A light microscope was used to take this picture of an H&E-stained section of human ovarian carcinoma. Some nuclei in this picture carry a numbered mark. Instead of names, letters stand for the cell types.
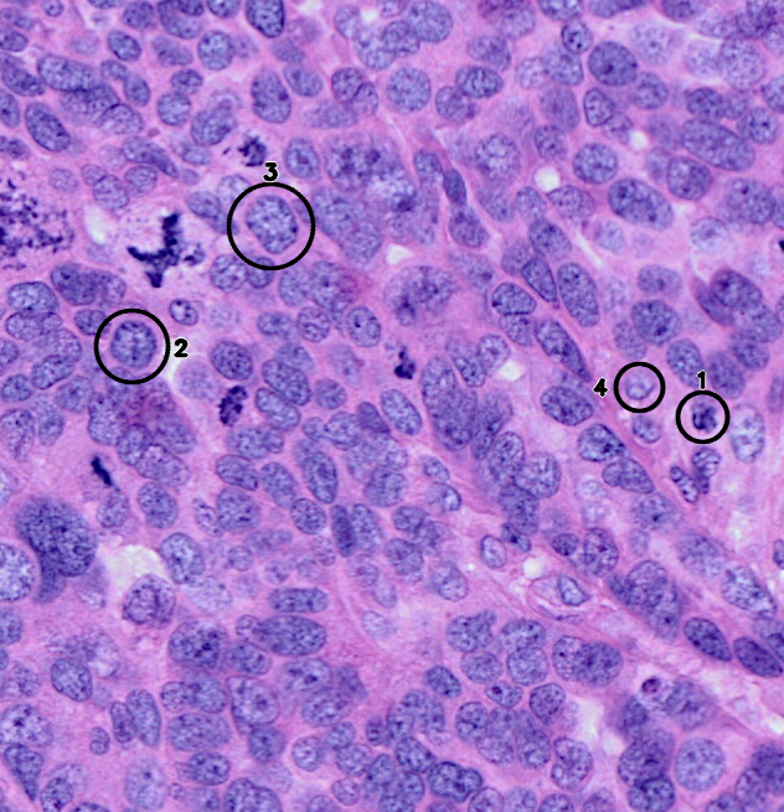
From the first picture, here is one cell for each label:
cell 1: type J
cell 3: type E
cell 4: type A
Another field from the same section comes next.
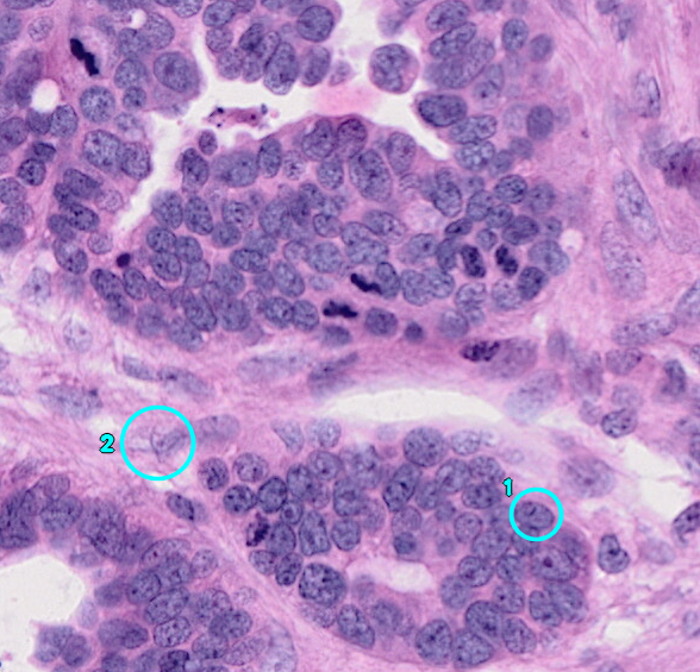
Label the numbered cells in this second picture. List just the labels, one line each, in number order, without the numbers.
type E
type A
